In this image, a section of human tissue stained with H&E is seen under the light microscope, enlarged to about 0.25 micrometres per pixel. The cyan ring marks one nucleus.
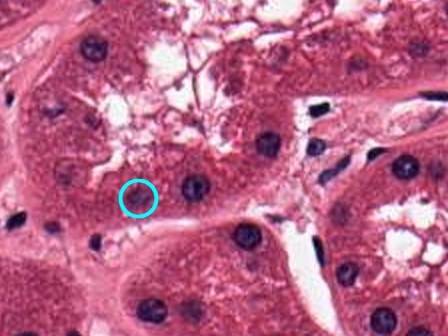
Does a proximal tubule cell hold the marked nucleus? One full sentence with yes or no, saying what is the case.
Yes, the marked nucleus is in a proximal tubule cell.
